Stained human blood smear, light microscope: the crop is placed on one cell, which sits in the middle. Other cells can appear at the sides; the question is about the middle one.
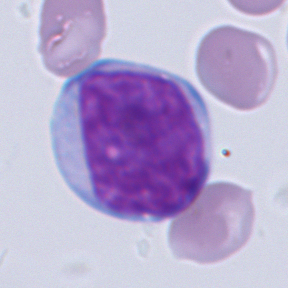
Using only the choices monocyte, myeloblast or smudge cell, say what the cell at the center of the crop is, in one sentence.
The centered cell in this crop is a myeloblast.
